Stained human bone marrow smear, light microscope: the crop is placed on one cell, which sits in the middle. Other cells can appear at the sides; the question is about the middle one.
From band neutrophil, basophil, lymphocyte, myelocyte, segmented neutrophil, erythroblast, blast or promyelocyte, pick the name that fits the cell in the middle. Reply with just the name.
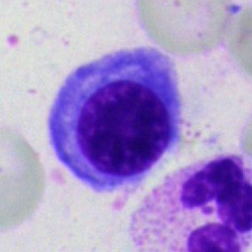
erythroblast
